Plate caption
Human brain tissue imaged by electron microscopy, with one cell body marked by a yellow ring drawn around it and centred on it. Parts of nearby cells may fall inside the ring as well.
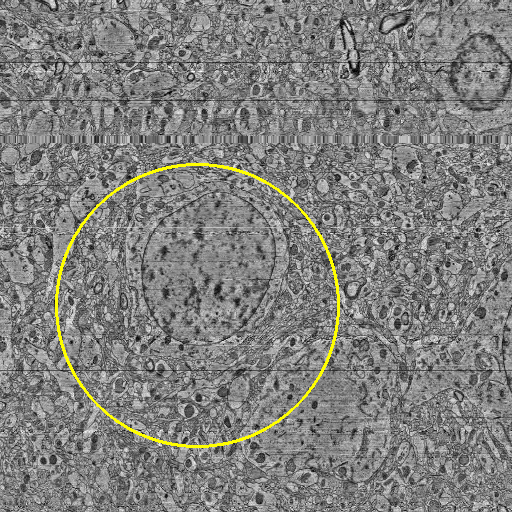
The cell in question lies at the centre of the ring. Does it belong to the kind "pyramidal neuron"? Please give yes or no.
Yes, it belongs to that kind.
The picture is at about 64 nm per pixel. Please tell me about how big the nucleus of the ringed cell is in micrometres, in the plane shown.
The nucleus works out at approximately 10 by 8 micrometres in this plane.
